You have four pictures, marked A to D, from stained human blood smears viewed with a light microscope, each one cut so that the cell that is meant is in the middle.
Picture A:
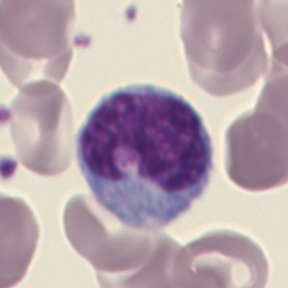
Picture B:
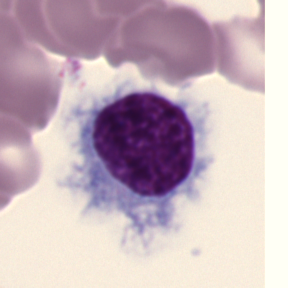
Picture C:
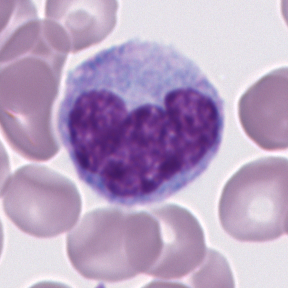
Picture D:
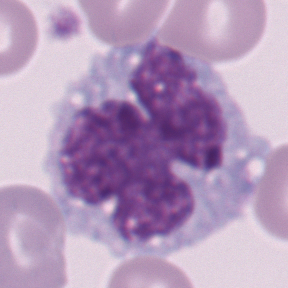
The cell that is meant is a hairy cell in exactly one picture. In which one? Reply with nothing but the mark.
B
